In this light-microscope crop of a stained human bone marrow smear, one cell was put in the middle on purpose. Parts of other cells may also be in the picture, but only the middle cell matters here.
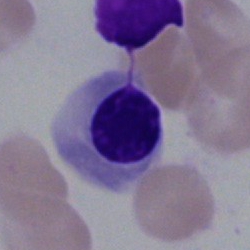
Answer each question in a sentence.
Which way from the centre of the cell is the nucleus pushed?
The nucleus sits off-centre, toward the right.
